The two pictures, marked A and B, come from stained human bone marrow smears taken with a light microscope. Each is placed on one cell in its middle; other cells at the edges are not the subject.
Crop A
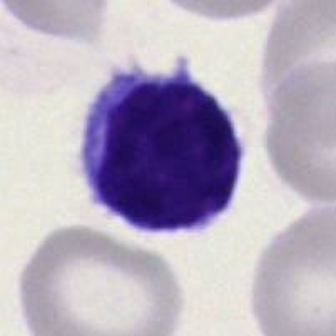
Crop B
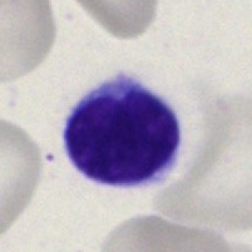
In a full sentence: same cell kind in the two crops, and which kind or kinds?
Yes, both crops show lymphocytes, and that holds for each one.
